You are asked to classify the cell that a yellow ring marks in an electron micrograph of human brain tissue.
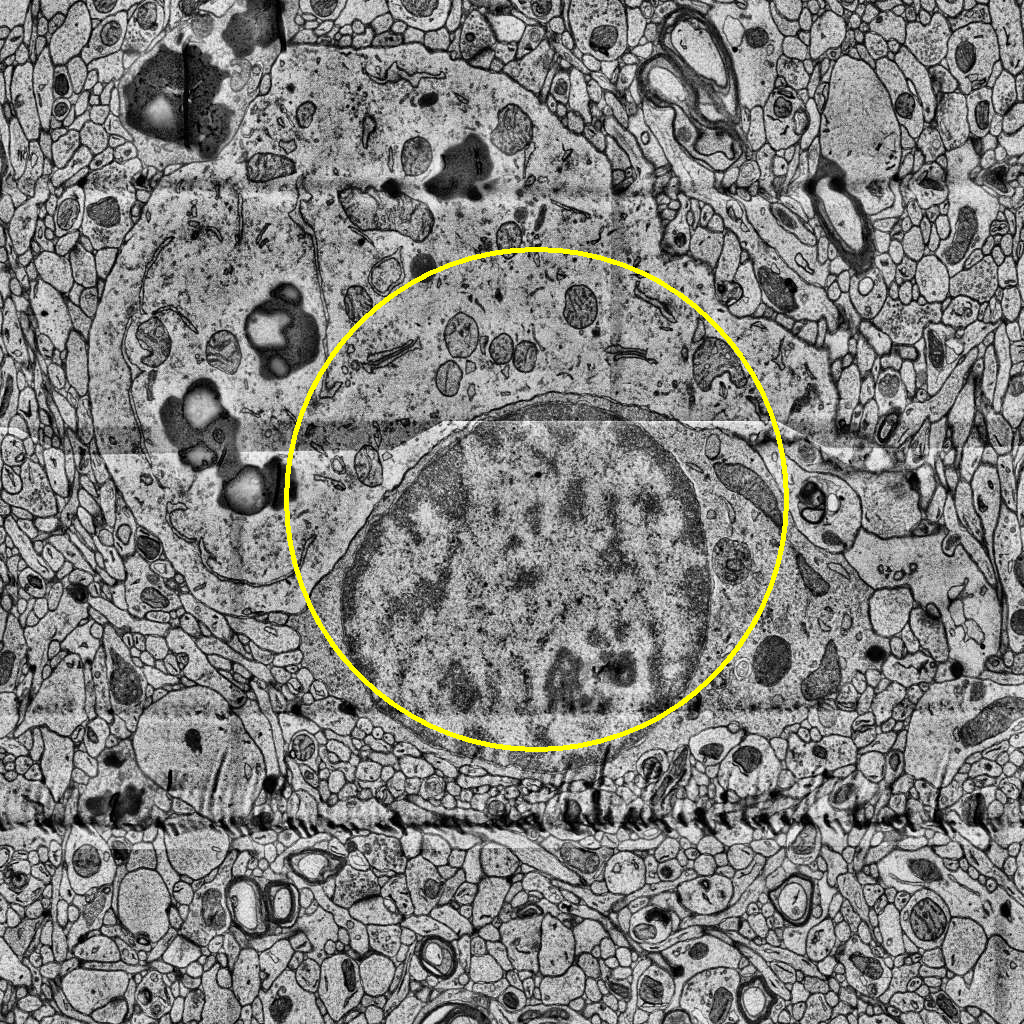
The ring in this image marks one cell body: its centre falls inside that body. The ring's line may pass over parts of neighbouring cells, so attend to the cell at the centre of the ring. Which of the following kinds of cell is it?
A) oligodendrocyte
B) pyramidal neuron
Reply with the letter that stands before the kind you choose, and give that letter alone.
A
